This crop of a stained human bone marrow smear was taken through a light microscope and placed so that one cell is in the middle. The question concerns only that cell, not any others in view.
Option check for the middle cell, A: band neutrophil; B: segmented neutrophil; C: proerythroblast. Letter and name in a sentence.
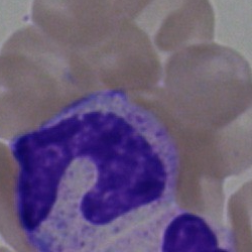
Option A is correct, naming the cell in the middle as a band neutrophil.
